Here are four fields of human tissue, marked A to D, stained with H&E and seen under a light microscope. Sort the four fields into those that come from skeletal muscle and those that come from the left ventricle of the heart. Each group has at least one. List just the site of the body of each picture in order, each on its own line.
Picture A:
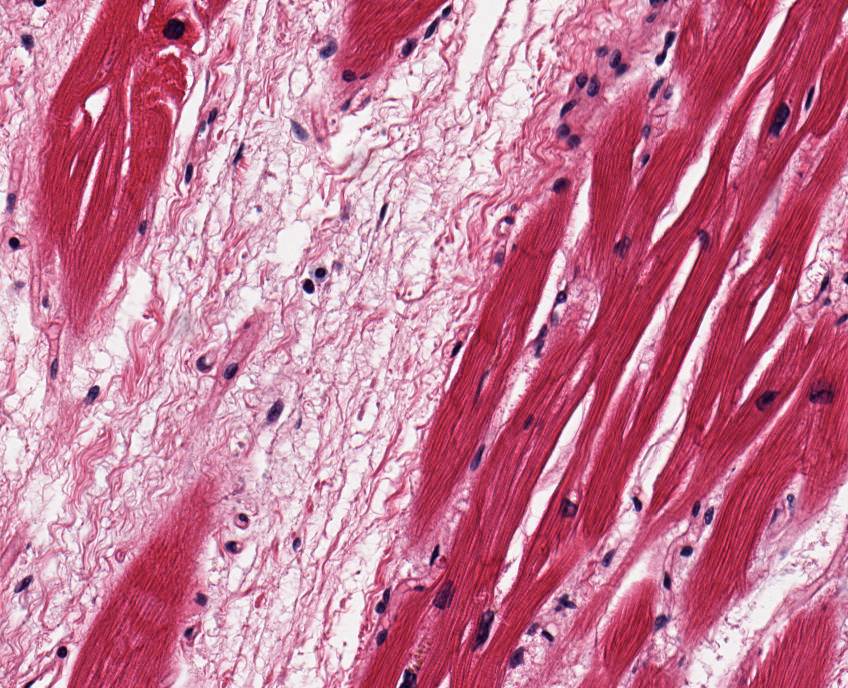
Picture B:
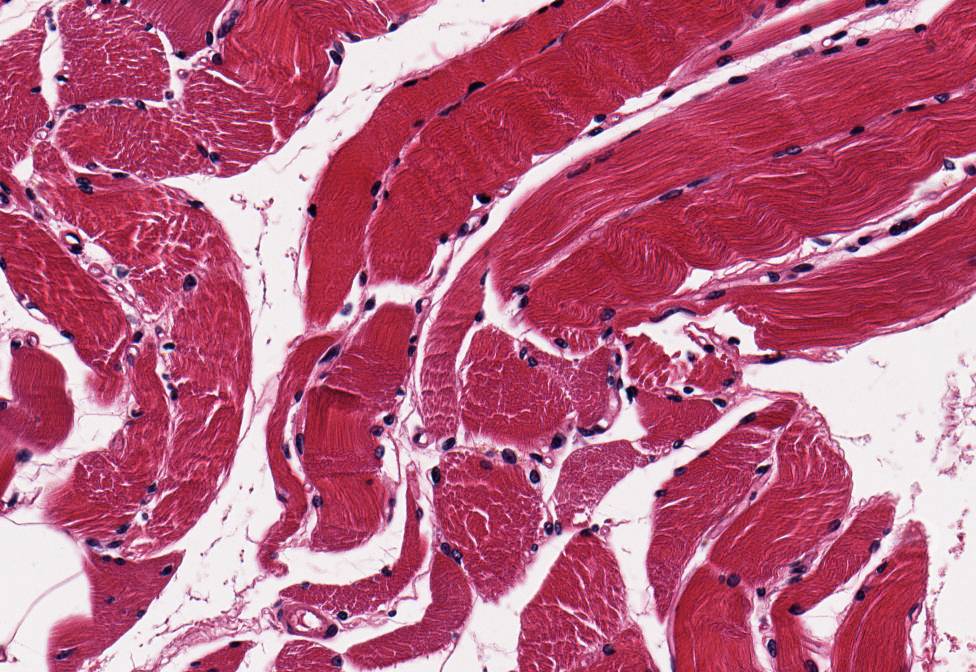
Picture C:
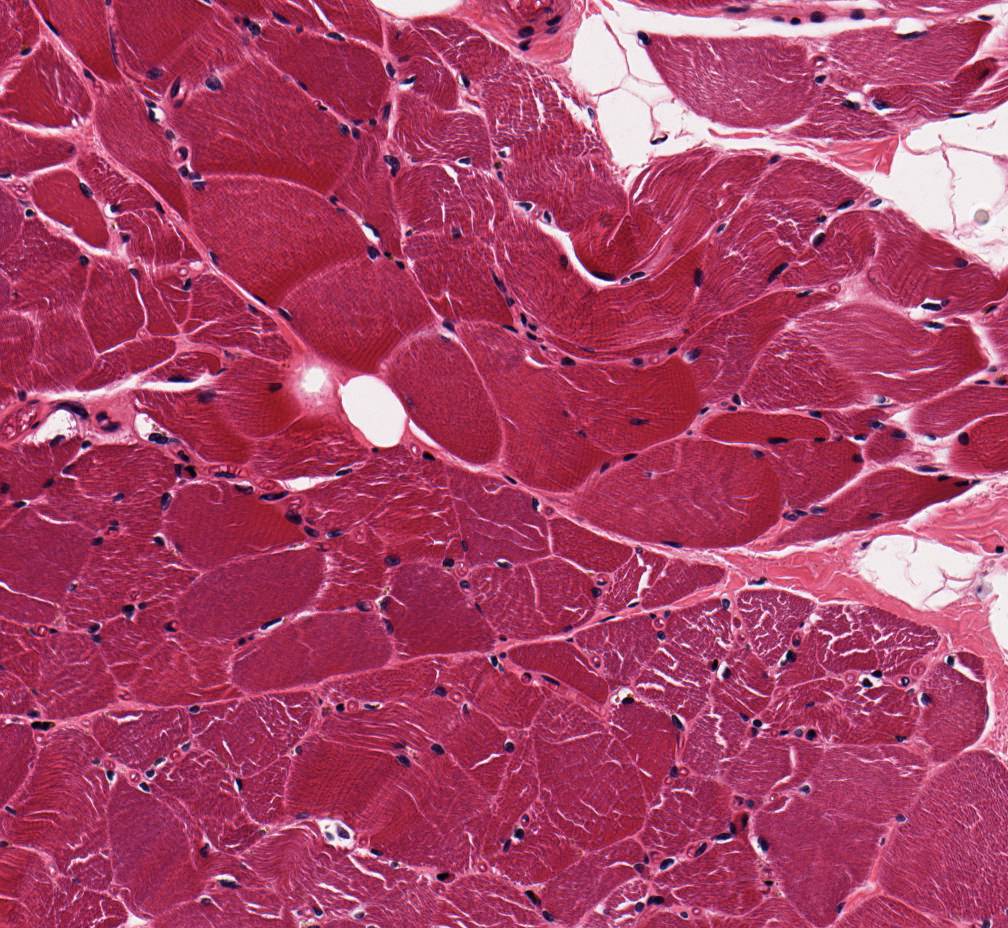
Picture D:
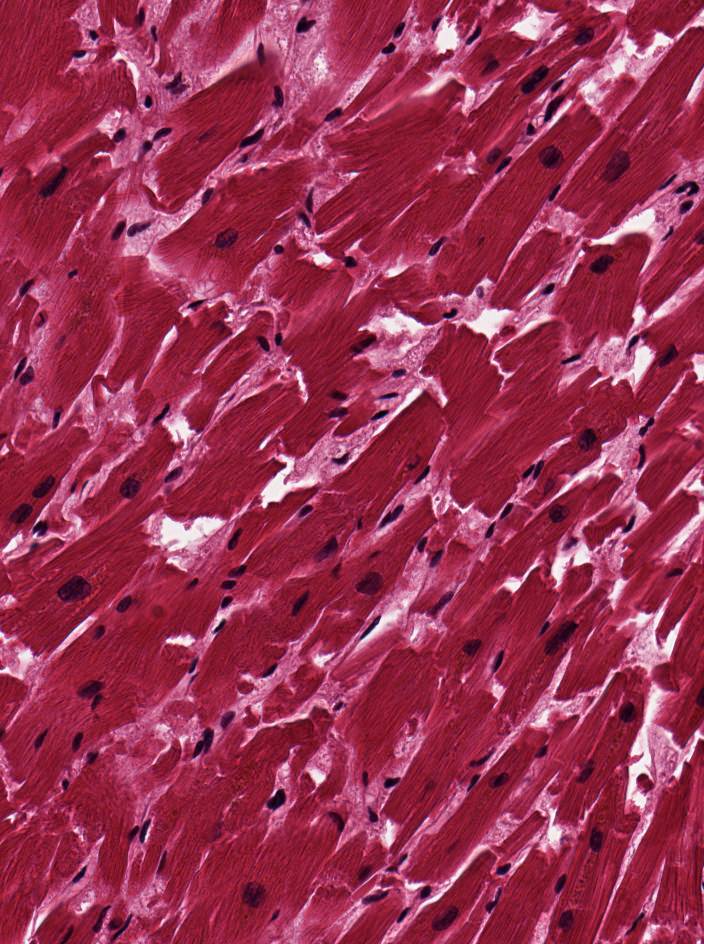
left ventricle of the heart
skeletal muscle
skeletal muscle
left ventricle of the heart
